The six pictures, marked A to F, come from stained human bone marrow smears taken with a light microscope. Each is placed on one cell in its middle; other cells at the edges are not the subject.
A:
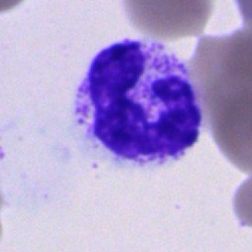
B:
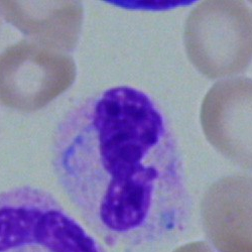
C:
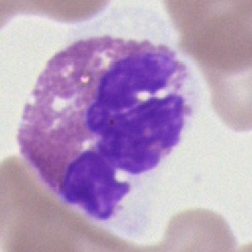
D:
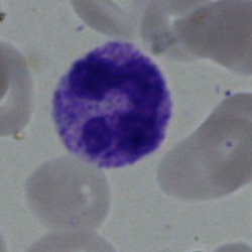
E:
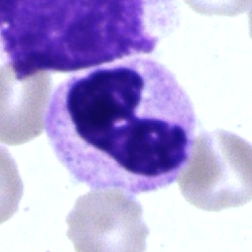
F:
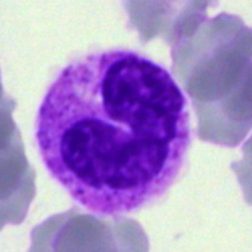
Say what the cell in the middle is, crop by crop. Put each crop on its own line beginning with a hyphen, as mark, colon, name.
- A: segmented neutrophil
- B: segmented neutrophil
- C: eosinophil
- D: segmented neutrophil
- E: segmented neutrophil
- F: band neutrophil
